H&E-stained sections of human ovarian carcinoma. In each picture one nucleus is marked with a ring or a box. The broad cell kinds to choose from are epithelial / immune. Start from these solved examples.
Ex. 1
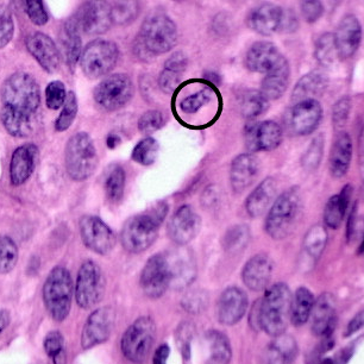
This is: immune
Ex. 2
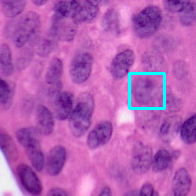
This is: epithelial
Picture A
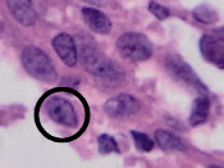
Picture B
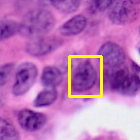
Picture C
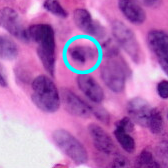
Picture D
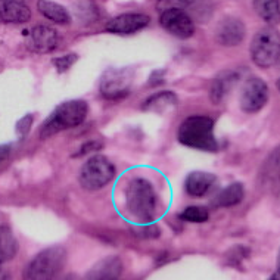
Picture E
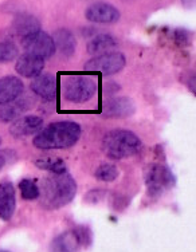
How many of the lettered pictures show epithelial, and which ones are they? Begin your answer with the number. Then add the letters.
3, namely B, D, E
